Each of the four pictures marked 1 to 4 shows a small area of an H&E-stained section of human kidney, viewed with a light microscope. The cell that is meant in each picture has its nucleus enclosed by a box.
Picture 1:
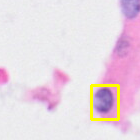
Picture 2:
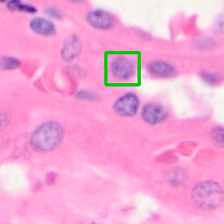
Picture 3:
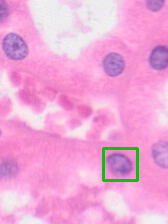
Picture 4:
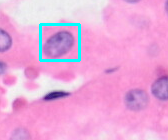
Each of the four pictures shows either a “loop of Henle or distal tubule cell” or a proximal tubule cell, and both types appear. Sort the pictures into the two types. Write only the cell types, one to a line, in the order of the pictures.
loop of Henle or distal tubule cell
loop of Henle or distal tubule cell
proximal tubule cell
proximal tubule cell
